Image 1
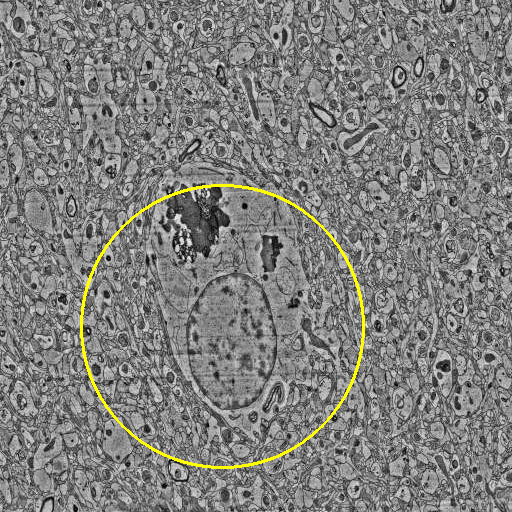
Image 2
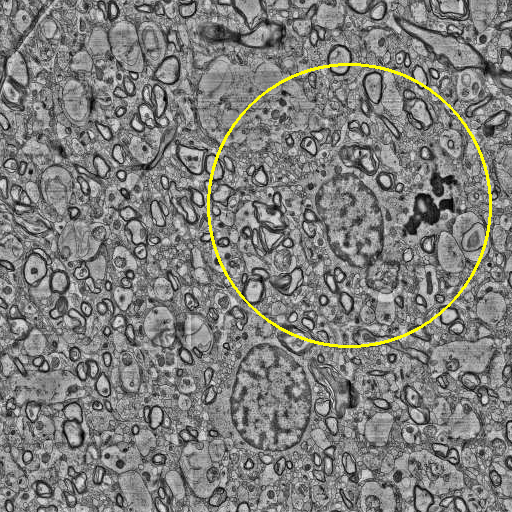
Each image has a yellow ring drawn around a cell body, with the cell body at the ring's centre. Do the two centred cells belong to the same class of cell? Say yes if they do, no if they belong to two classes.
no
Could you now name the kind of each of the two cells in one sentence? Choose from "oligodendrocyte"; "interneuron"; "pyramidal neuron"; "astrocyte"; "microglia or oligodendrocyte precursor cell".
The first ring encloses an astrocyte; the second ring encloses an oligodendrocyte.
